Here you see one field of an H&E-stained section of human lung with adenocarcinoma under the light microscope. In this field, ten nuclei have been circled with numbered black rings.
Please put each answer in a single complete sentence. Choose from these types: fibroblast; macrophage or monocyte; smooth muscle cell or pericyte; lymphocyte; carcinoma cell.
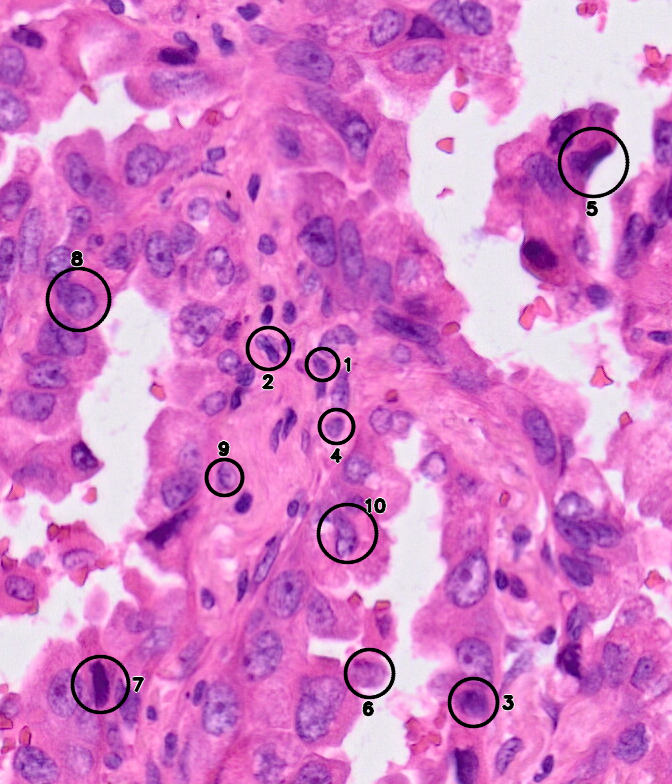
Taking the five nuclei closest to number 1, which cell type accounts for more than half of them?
Of the five nuclei nearest to number 1, most belong to macrophages or monocytes.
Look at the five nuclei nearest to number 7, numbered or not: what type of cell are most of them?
Around number 7, most of the five nearest nuclei are those of carcinoma cells.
